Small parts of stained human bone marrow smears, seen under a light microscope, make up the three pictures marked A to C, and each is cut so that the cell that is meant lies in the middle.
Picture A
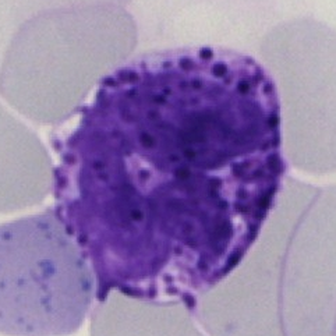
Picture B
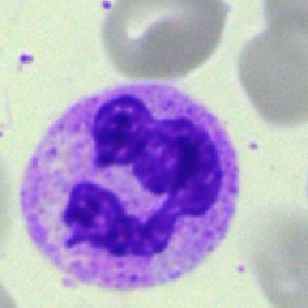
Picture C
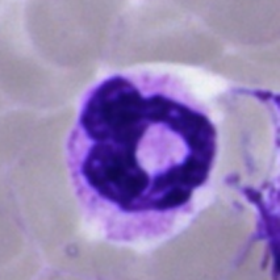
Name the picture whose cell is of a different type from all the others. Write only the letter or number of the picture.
A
